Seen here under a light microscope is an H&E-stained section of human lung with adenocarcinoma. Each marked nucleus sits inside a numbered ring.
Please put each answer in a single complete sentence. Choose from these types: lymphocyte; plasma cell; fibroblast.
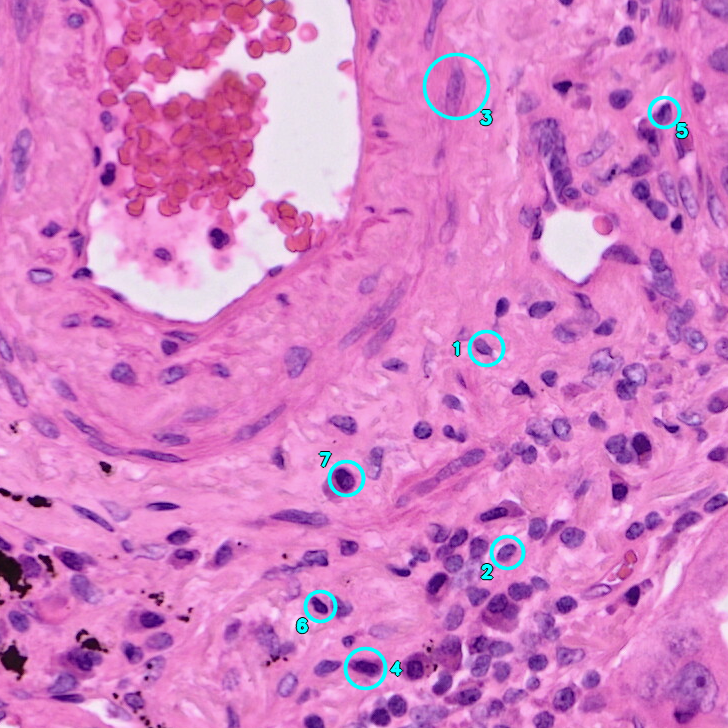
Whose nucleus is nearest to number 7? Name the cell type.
Closest to number 7 lies the nucleus of a fibroblast.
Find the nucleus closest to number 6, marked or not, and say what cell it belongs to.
The nucleus nearest to number 6 is that of a lymphocyte.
